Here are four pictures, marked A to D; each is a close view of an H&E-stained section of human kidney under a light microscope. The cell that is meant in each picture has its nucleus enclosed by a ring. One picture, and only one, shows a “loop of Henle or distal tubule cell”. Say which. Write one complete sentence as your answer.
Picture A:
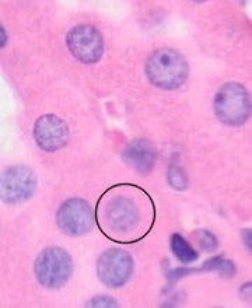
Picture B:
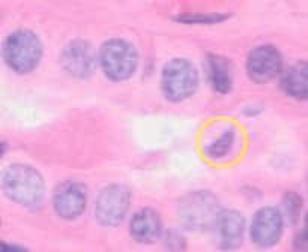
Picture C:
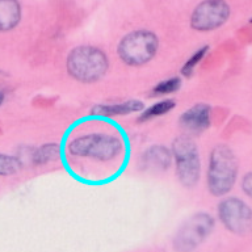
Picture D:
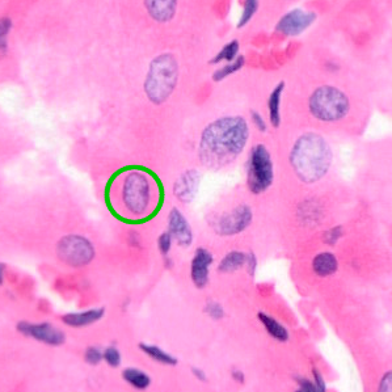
Picture A is the one that shows the “loop of Henle or distal tubule cell”.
